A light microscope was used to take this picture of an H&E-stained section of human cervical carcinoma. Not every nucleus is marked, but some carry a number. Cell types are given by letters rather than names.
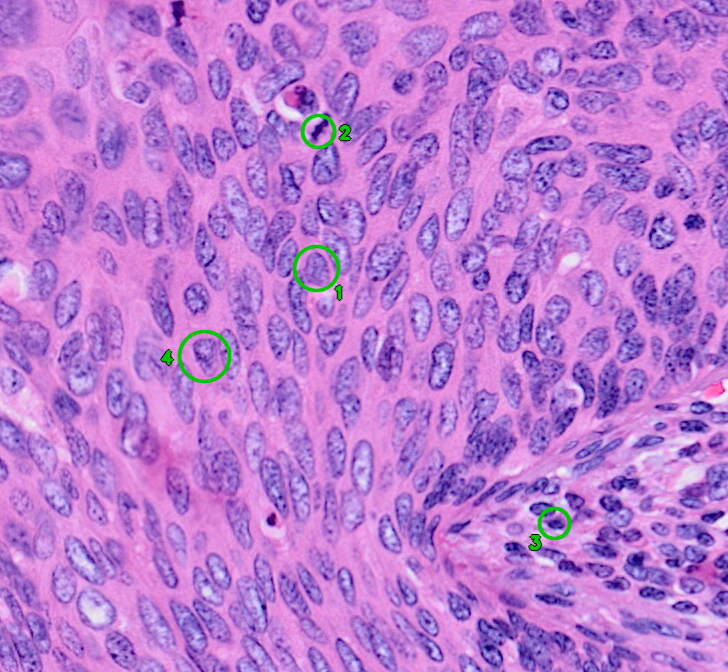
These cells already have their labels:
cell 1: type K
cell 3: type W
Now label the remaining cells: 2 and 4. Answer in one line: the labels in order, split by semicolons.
type K; type K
